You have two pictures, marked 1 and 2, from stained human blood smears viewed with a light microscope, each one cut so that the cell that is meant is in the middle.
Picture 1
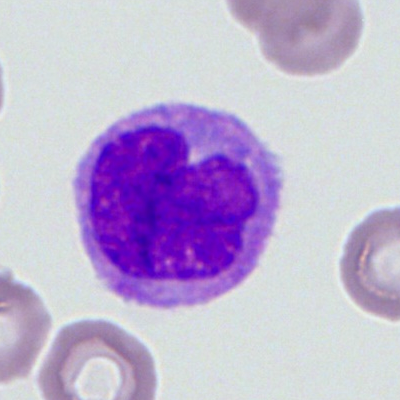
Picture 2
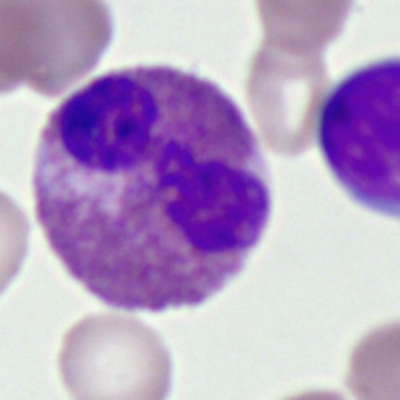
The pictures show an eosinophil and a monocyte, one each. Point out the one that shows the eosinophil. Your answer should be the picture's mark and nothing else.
2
